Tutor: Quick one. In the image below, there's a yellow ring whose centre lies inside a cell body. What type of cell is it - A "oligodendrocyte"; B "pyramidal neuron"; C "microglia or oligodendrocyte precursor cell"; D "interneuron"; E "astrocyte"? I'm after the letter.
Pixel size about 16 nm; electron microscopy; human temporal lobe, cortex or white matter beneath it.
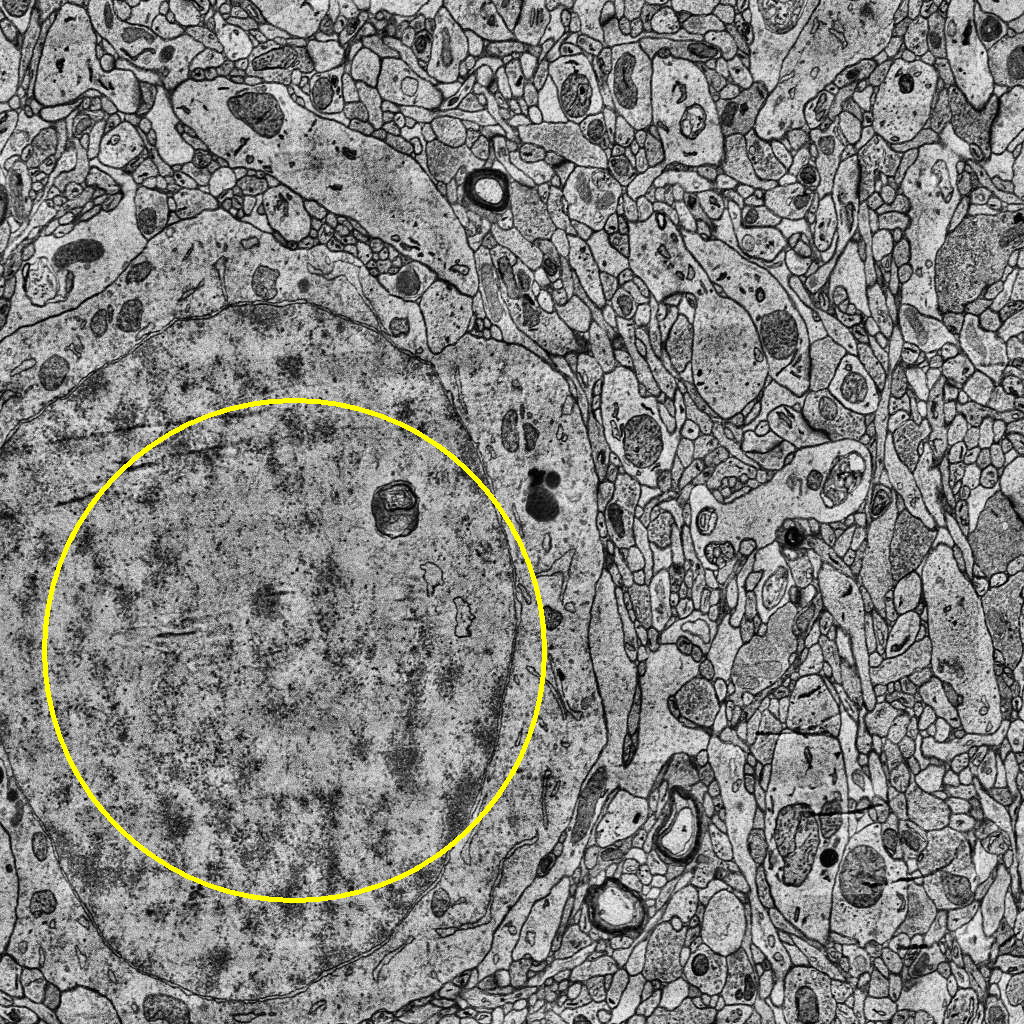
D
